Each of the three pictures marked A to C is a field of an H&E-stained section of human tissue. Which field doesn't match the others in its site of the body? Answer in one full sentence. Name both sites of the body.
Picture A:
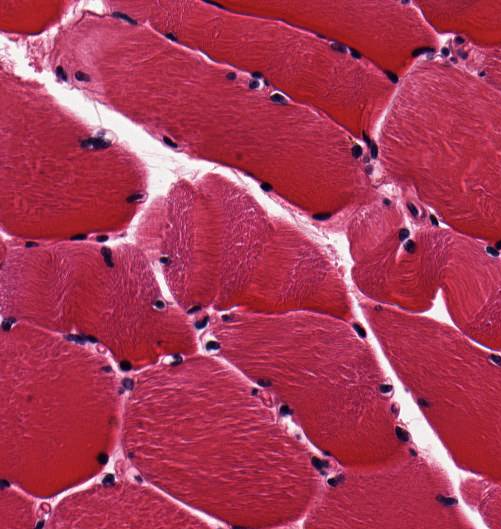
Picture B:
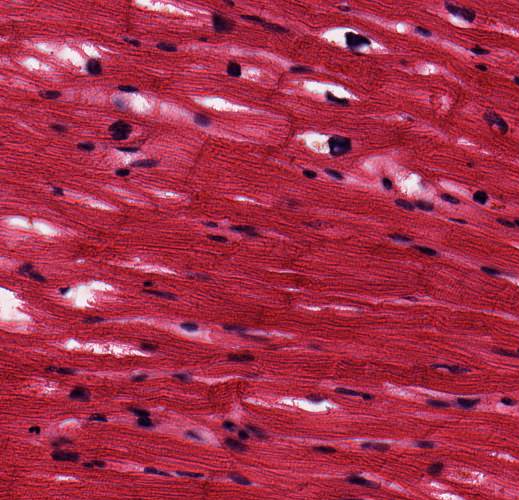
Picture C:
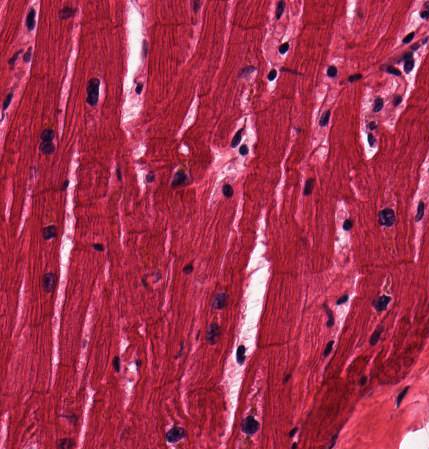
Unlike the rest, which come from the left ventricle of the heart, picture A comes from skeletal muscle.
